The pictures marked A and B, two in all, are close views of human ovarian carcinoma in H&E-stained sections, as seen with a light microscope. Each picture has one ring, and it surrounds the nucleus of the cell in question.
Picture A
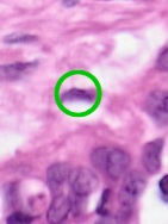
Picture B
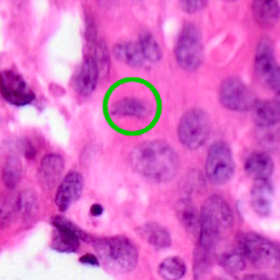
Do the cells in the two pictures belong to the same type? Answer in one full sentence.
No, the types are not the same, since picture A shows a fibroblast and picture B an endothelial cell.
